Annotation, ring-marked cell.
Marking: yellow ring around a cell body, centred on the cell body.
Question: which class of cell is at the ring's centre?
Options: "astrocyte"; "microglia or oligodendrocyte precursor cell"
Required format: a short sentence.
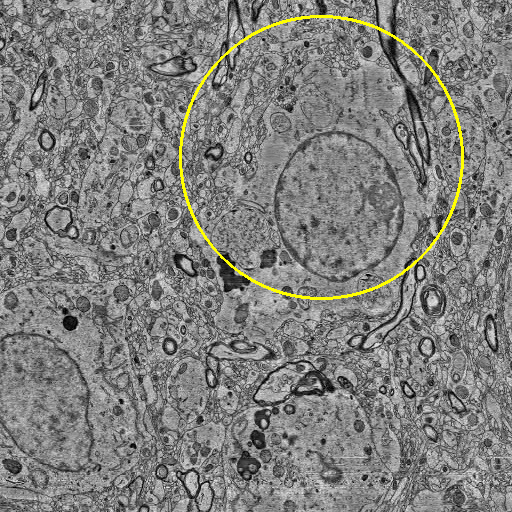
At the ring's centre is an astrocyte.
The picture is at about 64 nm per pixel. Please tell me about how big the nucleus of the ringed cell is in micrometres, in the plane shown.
Roughly 10 by 8 micrometres in this plane, for the nucleus of the ringed cell.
